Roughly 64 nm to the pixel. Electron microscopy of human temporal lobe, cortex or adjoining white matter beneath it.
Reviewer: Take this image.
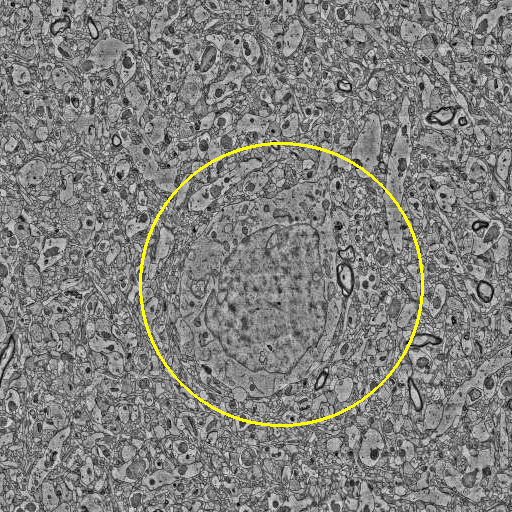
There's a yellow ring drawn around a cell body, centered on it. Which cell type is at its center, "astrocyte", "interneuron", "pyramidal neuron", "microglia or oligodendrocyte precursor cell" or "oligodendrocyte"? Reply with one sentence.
At the center of the yellow ring is an interneuron.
